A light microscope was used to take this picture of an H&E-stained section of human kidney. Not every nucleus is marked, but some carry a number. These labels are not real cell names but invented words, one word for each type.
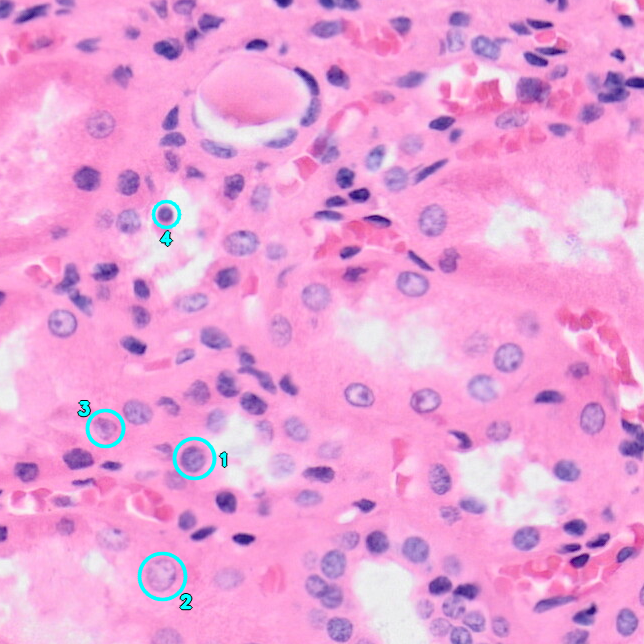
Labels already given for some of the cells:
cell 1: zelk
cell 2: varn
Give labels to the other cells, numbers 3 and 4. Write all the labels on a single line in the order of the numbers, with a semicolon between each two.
varn; zelk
